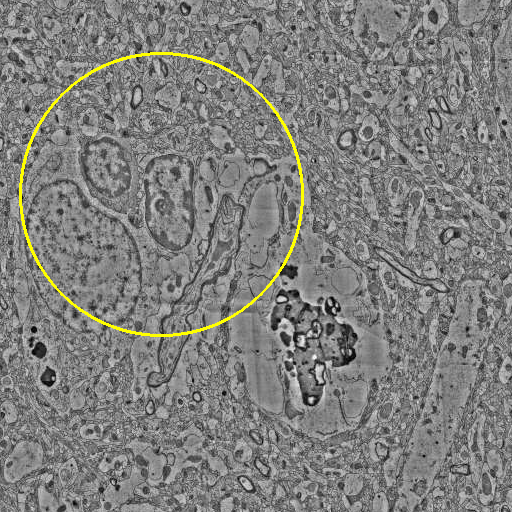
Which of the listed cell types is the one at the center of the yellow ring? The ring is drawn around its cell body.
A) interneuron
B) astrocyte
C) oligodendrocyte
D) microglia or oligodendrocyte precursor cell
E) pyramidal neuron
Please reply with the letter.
D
